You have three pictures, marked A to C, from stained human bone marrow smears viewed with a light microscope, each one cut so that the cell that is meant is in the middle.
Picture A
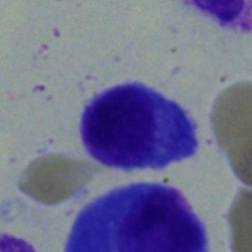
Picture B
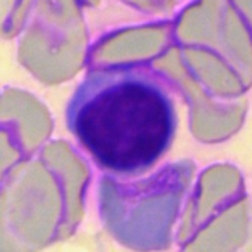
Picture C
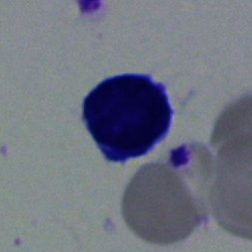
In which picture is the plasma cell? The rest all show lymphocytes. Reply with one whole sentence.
The picture with the plasma cell is A.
